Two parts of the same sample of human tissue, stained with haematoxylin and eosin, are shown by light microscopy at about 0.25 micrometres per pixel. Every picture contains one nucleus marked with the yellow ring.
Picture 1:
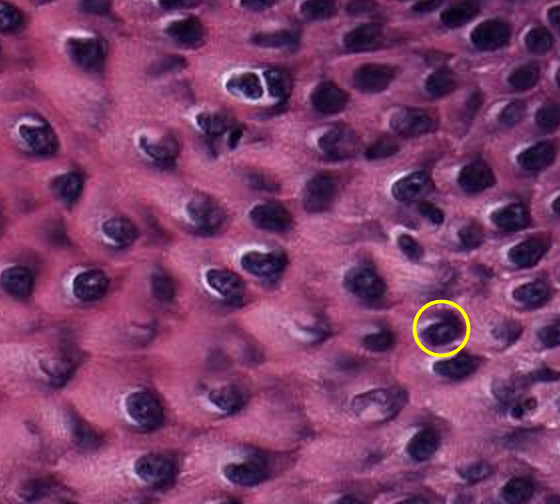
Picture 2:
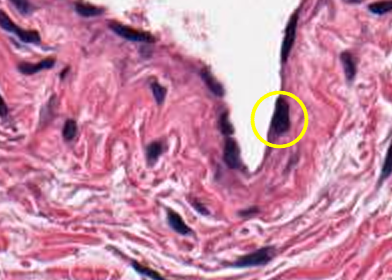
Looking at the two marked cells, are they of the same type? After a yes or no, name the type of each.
No, the first is a squamous epithelial cell and the second an endothelial cell.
